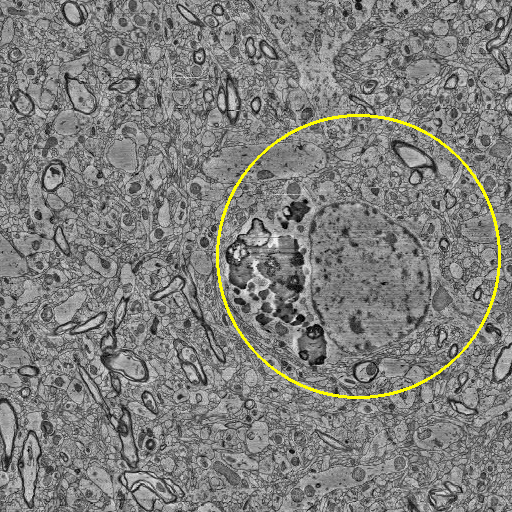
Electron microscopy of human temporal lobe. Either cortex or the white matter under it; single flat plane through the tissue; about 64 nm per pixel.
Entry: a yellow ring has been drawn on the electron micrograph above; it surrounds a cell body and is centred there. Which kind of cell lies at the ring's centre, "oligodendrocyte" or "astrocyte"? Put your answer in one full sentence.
The cell sitting at the ring's centre is an astrocyte in the micrograph above.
